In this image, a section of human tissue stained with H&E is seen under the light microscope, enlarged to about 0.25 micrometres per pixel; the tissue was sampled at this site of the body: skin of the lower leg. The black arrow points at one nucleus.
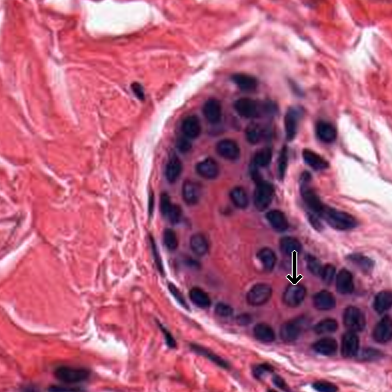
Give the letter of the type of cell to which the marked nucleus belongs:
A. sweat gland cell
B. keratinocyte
A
